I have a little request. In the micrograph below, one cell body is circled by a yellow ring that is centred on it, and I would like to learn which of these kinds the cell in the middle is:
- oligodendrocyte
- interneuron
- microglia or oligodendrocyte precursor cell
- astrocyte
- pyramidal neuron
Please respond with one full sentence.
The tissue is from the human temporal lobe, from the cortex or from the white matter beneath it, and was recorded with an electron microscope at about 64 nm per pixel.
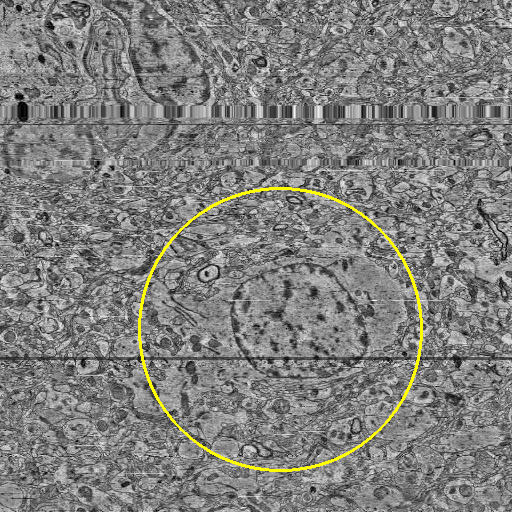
The cell sitting in the middle of the yellow ring in the micrograph is an astrocyte.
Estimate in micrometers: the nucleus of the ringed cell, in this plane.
The nucleus is approximately 9 micrometers long by 8 micrometers wide in this plane.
